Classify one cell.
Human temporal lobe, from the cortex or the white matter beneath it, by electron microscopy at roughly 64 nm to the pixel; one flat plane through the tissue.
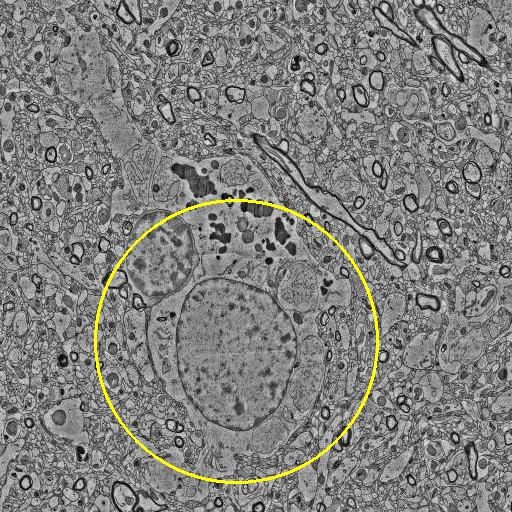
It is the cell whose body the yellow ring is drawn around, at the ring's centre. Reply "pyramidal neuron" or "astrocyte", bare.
astrocyte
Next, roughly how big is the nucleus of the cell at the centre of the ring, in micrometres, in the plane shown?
Roughly 10 by 8 micrometres is the size of the nucleus in this plane.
